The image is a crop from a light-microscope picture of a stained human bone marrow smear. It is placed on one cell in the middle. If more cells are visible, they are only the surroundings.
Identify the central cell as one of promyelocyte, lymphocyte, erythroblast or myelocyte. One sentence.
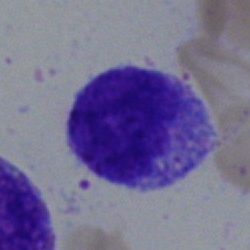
The target cell in the middle of the crop is a myelocyte.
